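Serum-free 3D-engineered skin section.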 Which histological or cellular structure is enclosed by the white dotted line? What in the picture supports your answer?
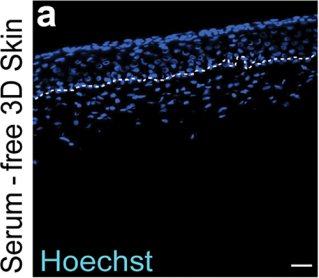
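Dermal/epidermal junction. The dotted line runs below a dense band of packed nuclei at the top of the section. Below the line the nuclei are sparser and scattered.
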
